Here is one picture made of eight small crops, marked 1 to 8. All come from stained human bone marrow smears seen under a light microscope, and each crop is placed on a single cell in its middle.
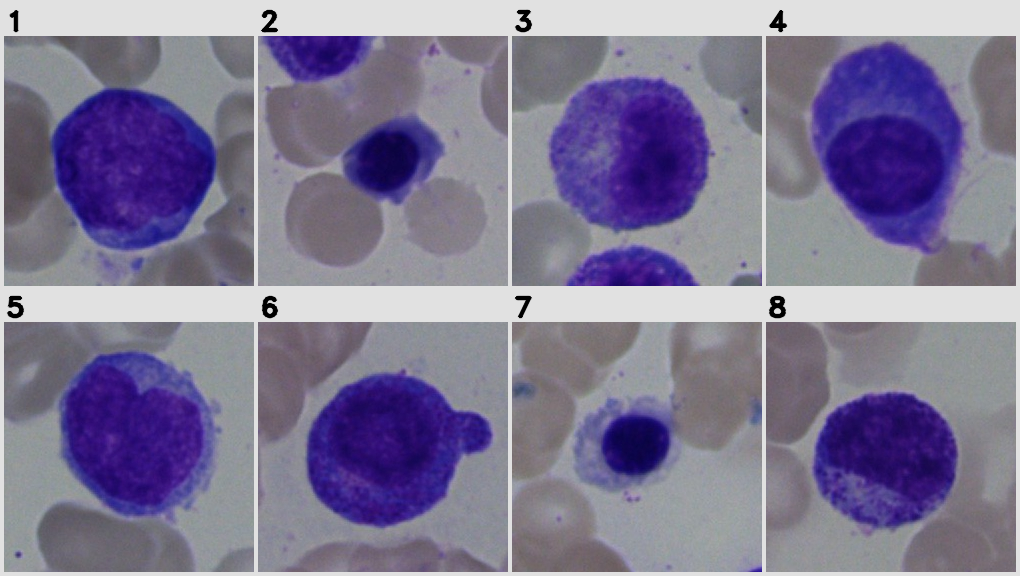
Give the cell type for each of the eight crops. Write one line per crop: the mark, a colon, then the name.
1: blast
2: erythroblast
3: promyelocyte
4: plasma cell
5: blast
6: promyelocyte
7: erythroblast
8: myelocyte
